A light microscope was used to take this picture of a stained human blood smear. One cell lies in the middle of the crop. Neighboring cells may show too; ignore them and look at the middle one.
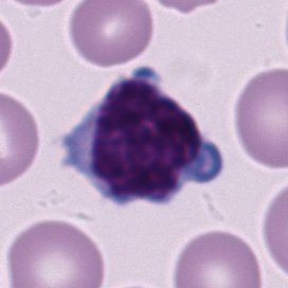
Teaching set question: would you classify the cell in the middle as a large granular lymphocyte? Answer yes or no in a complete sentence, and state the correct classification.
No, the cell at the centre of the crop corresponds to a typical lymphocyte, not a large granular lymphocyte.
